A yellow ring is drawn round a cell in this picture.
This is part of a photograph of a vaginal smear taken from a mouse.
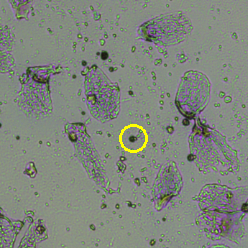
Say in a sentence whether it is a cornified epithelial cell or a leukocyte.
The cell in the ring is a leukocyte.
